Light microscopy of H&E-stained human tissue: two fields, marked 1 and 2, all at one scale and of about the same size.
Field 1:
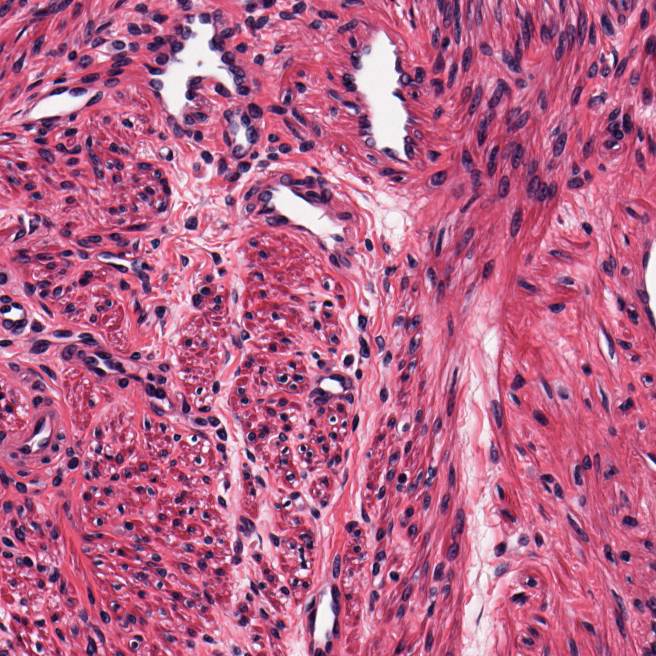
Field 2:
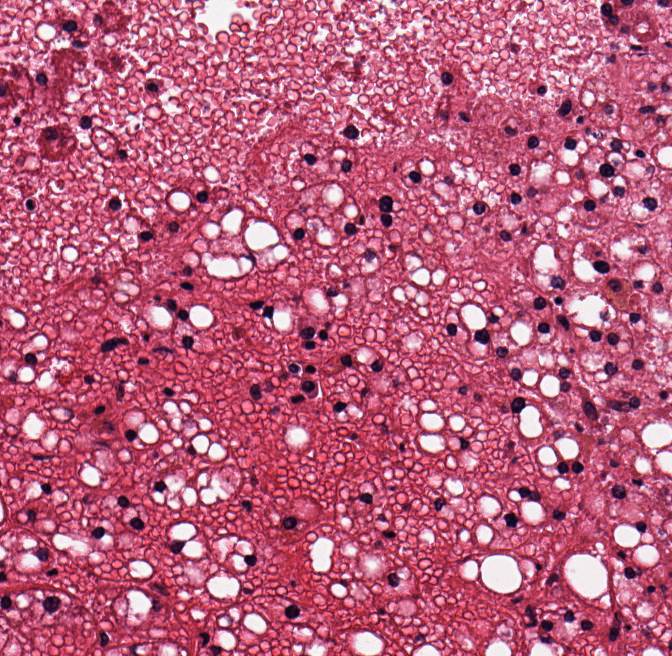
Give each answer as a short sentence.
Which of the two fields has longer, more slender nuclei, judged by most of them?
On the whole the nuclei of field 1 are more drawn out than those of field 2.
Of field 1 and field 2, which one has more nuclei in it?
There are more nuclei in field 1.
